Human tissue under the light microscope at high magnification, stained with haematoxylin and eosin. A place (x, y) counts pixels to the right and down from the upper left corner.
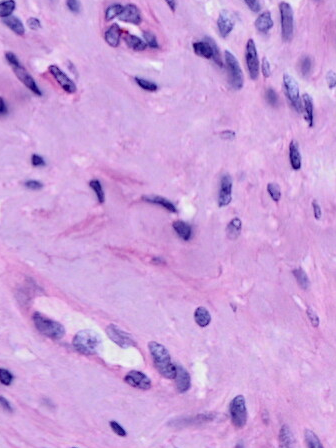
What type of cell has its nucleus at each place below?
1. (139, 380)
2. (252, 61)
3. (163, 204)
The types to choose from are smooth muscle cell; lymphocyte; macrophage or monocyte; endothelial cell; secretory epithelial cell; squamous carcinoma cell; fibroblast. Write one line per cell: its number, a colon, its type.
1: endothelial cell
2: fibroblast
3: fibroblast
